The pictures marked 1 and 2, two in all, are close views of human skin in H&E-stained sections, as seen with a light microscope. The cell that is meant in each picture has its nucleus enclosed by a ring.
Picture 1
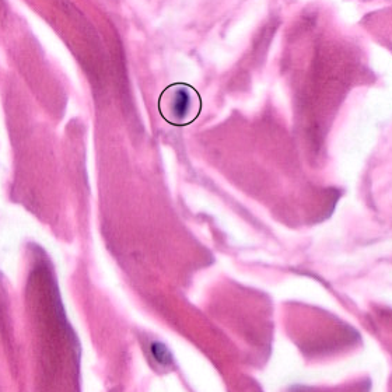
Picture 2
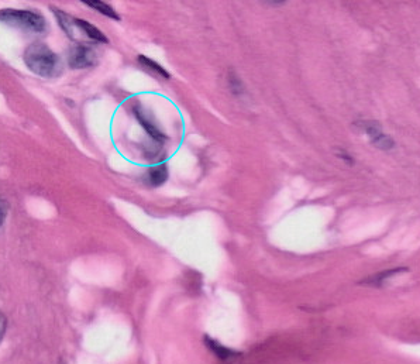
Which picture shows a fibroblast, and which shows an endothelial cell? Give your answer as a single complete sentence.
It is picture 1 that shows a fibroblast, and picture 2 that shows an endothelial cell.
